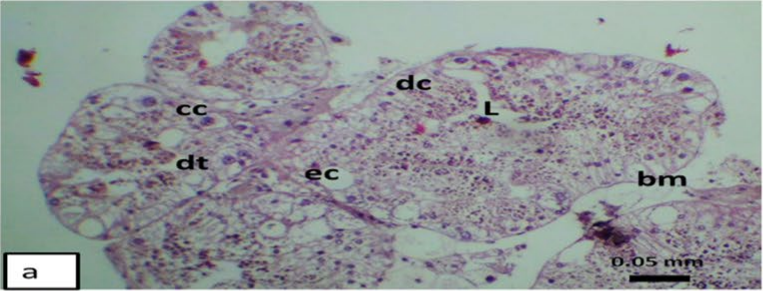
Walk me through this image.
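Section of digestive gland showing rounded tubules lined by a single layer of tall epithelial cells around a narrow central lumen. The cells have round, dark purple nuclei and cytoplasm packed with many small dark granules, with scattered clear vacuoles. A thin pale pink band borders each tubule, and loose pink tissue lies in the spaces between neighbouring tubules.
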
